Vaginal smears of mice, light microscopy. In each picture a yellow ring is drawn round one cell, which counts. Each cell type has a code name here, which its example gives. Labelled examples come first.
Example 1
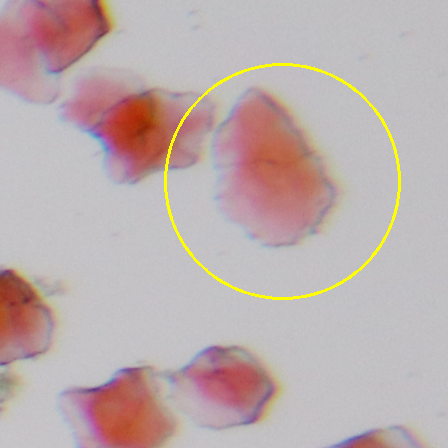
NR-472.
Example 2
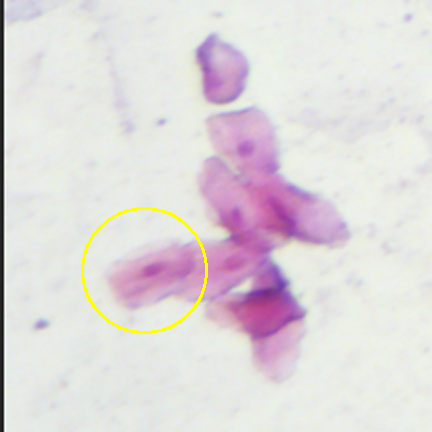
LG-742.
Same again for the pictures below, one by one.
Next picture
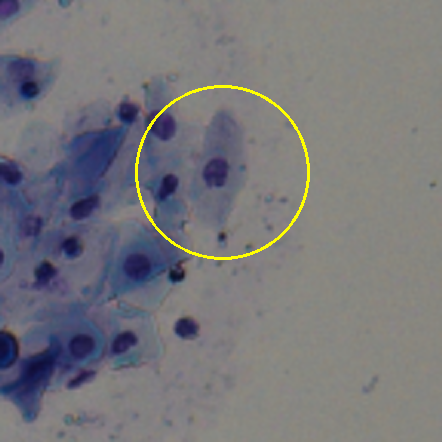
LG-742.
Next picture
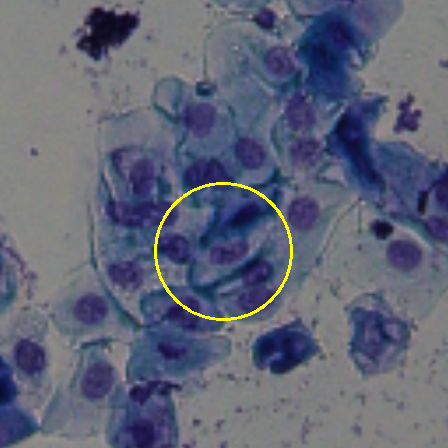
LG-742.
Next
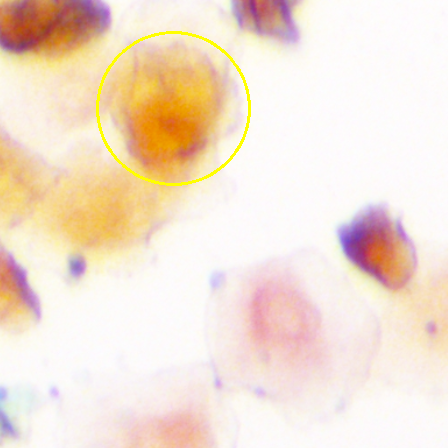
NR-472.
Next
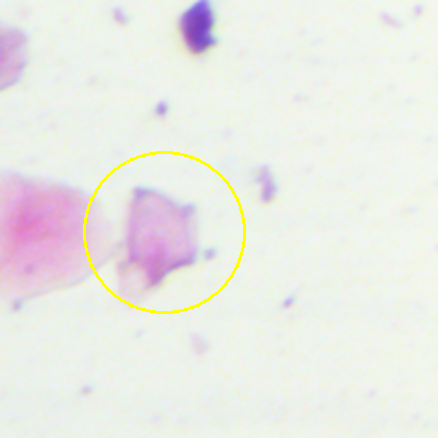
NR-472.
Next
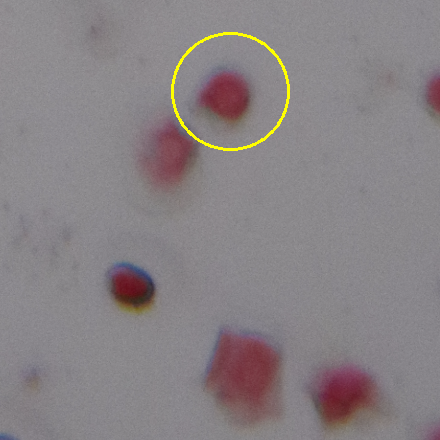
LG-742.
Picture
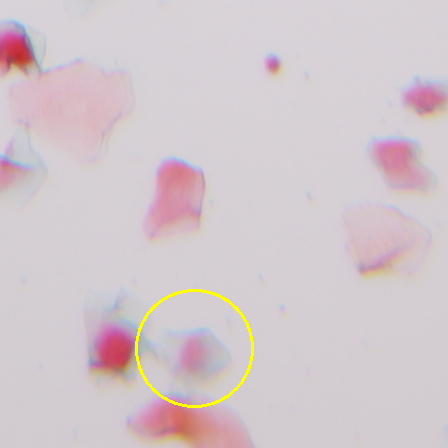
LG-742.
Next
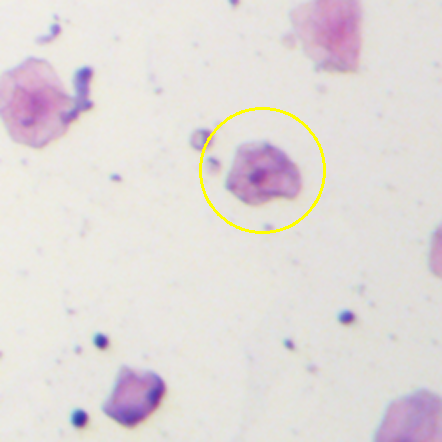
LG-742.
